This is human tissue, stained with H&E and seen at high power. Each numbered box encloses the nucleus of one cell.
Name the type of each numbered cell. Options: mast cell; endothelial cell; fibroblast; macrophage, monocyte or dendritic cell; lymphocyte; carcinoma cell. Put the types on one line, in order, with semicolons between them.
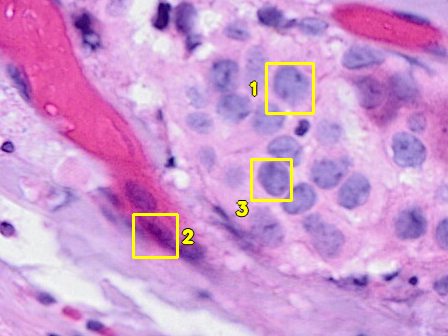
carcinoma cell; endothelial cell; carcinoma cell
